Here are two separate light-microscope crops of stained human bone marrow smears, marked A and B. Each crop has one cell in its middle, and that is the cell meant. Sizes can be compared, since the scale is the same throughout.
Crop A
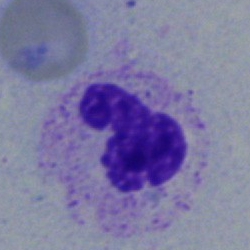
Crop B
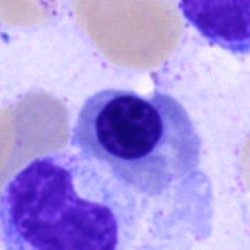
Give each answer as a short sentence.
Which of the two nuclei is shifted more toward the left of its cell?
It is the nucleus in crop B that lies further toward the left of its cell.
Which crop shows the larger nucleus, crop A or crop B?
Larger is the nucleus in crop A, at roughly 2 times the area of the other.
